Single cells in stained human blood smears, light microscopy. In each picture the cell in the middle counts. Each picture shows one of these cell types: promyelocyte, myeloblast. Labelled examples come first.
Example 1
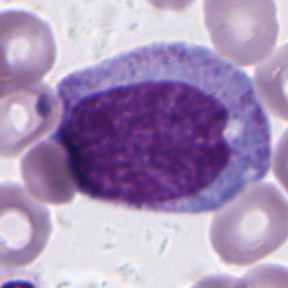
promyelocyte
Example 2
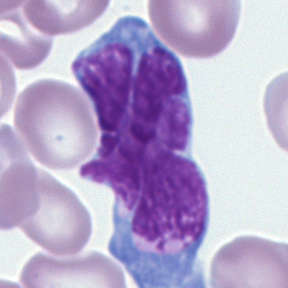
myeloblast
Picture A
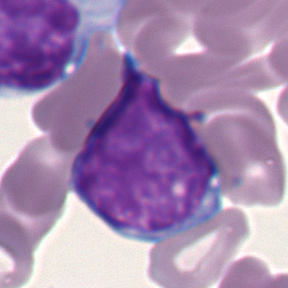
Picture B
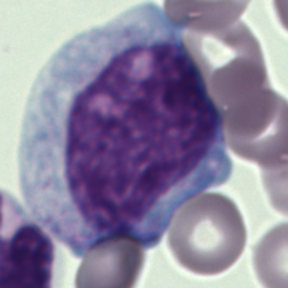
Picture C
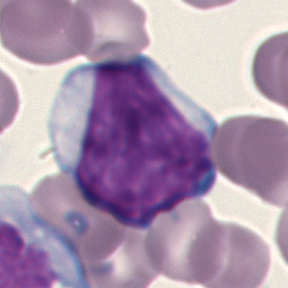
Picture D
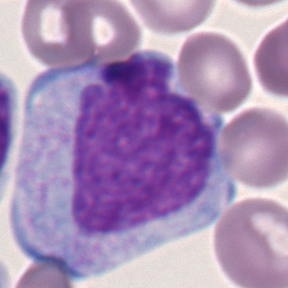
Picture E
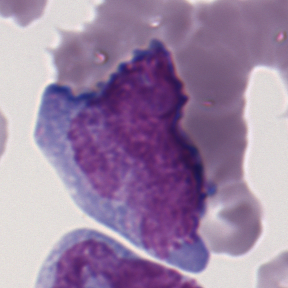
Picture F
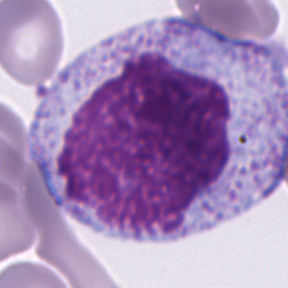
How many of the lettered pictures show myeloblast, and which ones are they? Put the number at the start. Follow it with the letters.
3, namely A, C, E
